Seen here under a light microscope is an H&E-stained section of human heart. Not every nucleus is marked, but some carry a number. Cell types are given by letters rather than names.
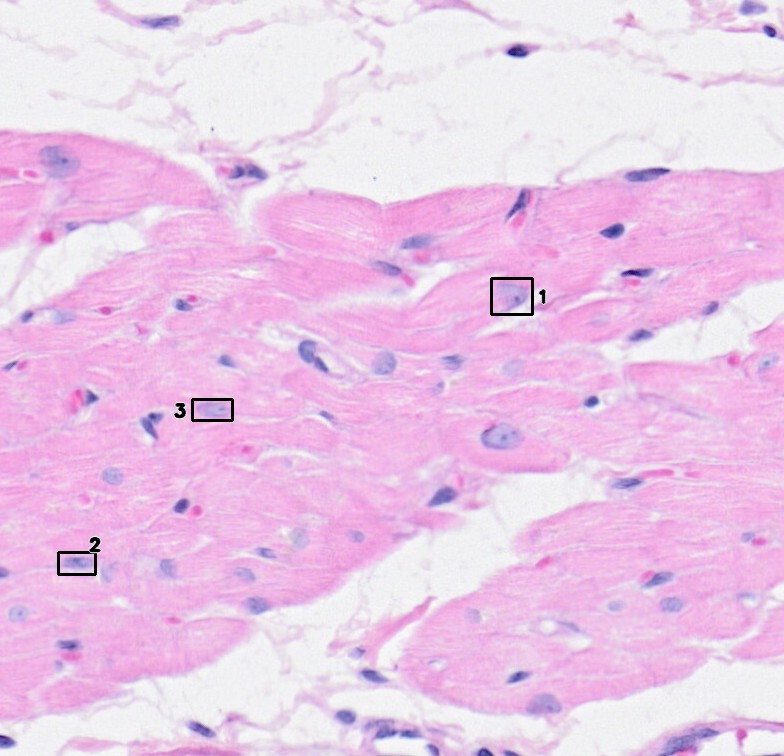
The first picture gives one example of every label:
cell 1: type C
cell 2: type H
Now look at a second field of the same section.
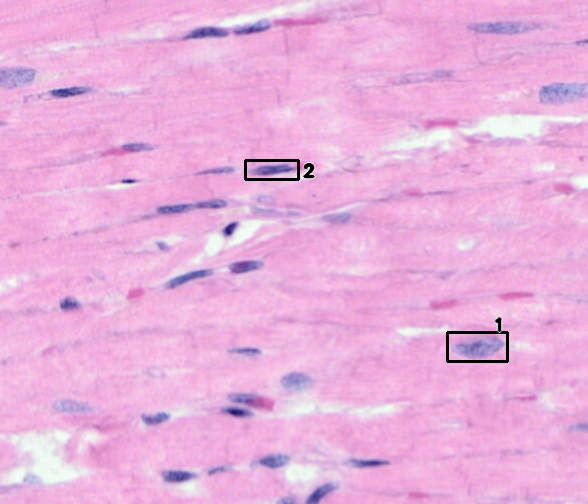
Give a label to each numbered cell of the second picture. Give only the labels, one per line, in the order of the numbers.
type C
type H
